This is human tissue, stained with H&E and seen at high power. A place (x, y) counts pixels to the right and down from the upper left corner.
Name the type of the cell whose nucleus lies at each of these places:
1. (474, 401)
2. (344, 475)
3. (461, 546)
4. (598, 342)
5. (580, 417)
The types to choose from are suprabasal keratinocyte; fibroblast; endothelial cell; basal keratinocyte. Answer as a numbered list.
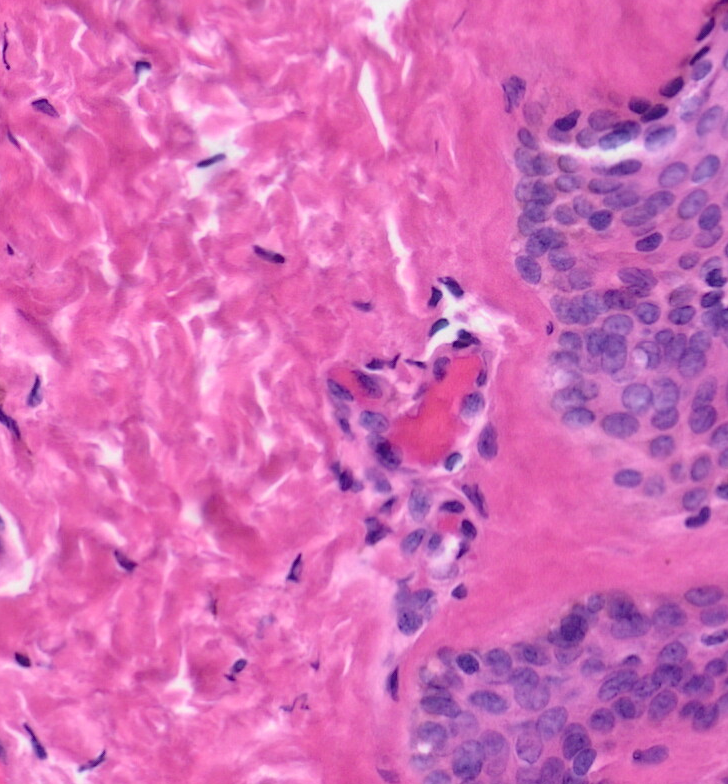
1. endothelial cell
2. fibroblast
3. endothelial cell
4. basal keratinocyte
5. basal keratinocyte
